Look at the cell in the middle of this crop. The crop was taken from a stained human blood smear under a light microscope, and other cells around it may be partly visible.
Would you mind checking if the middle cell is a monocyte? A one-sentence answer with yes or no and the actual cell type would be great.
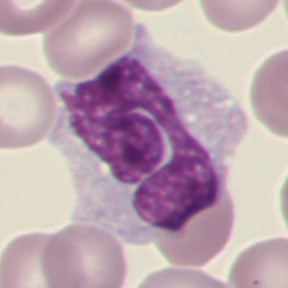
Yes, the cell in the middle of this smear crop is a monocyte.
